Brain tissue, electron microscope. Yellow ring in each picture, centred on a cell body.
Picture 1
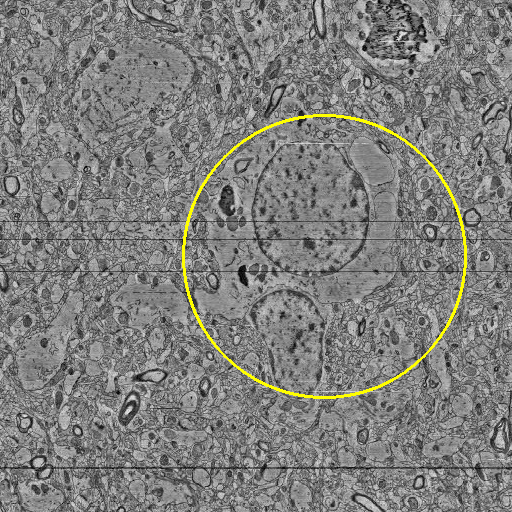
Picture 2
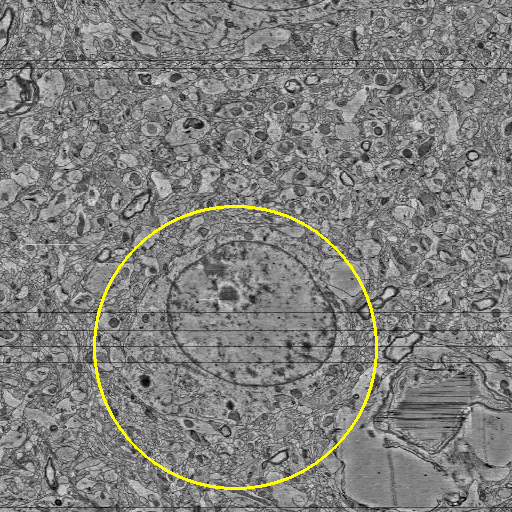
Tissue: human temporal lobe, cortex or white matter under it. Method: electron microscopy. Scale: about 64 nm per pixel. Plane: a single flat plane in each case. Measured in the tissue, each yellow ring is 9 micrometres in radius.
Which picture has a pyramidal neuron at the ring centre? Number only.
2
